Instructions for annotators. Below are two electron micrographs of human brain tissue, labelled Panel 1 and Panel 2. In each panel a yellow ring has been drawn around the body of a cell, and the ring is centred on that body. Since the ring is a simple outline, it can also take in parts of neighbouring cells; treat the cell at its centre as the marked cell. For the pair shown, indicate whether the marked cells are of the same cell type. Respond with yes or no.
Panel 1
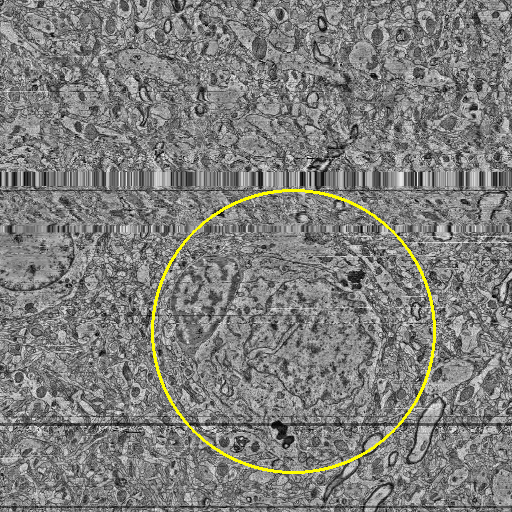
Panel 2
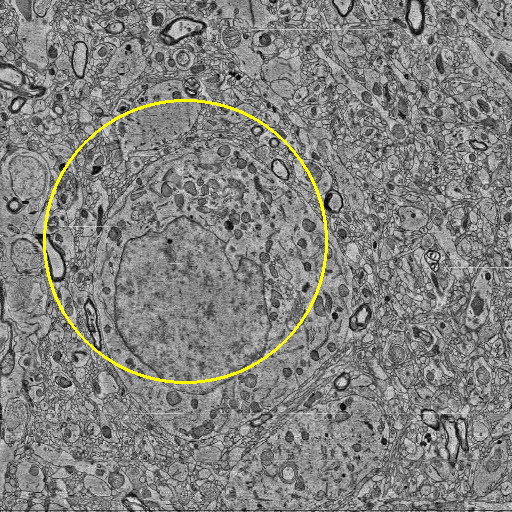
yes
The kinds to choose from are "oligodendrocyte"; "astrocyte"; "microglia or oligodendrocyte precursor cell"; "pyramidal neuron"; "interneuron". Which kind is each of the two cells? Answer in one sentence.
The cell at the ring centre is an interneuron in both pictures.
